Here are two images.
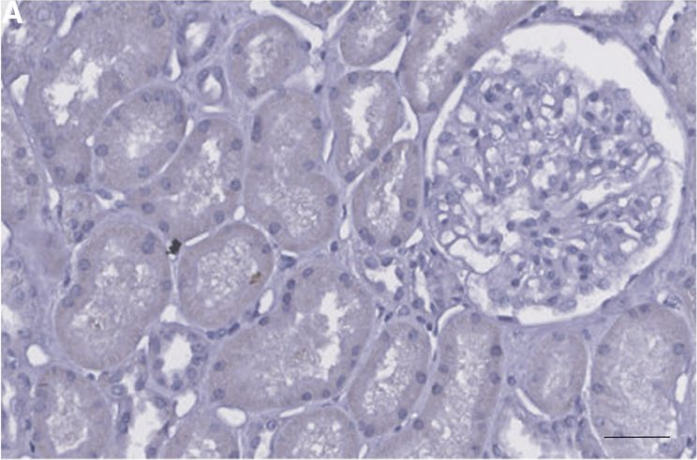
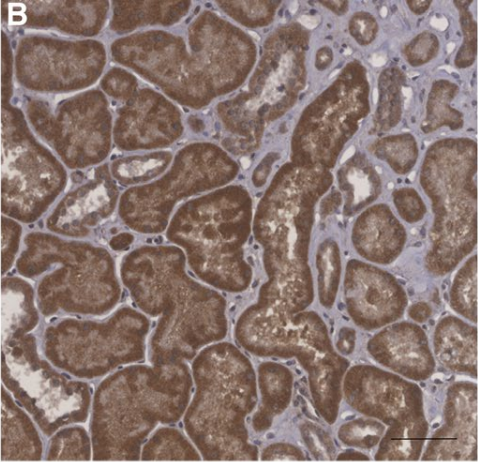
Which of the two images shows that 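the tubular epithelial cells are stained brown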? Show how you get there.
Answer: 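Second image: tubules are lined by cells with dense brown cytoplasm.
Hence: the second image.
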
